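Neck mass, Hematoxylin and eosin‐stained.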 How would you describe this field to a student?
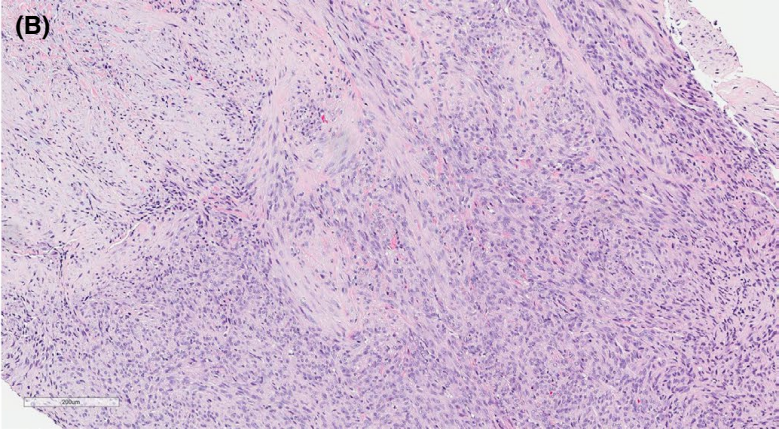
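A spindle-cell tumour is shown, made of elongated cells in broad, intersecting fascicles with moderate pink cytoplasm. The lower and right part is densely cellular, with crowded oval to spindled purple nuclei. A small vessel sits in the paler area near the top centre.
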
